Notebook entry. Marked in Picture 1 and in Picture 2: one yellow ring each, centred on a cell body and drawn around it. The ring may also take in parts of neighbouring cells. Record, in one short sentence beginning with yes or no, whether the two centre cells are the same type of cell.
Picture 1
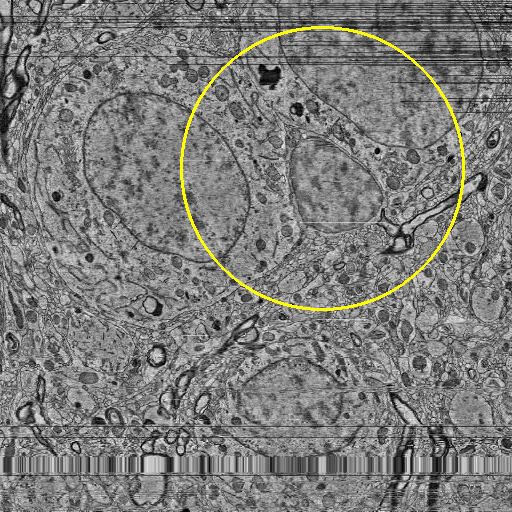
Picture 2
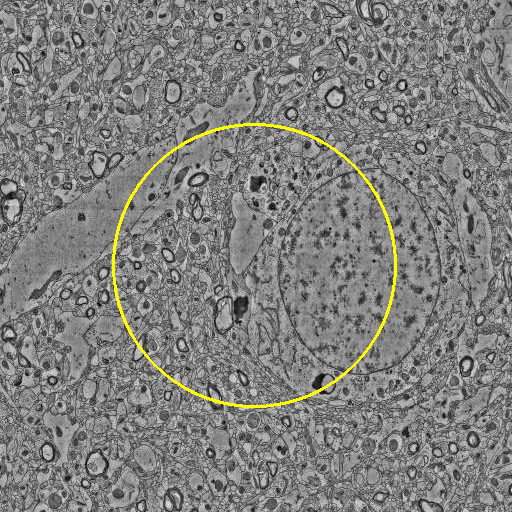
Yes, both are the same type of cell.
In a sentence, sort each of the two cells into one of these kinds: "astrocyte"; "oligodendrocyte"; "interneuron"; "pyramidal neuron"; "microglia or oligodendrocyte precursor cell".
Both the first and the second picture show an oligodendrocyte in the ring.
